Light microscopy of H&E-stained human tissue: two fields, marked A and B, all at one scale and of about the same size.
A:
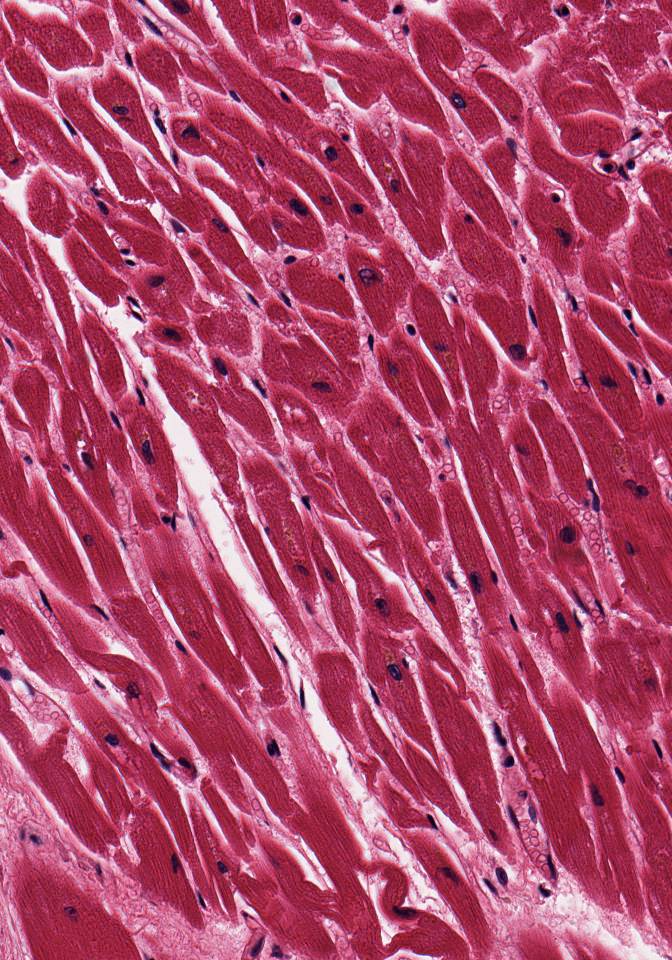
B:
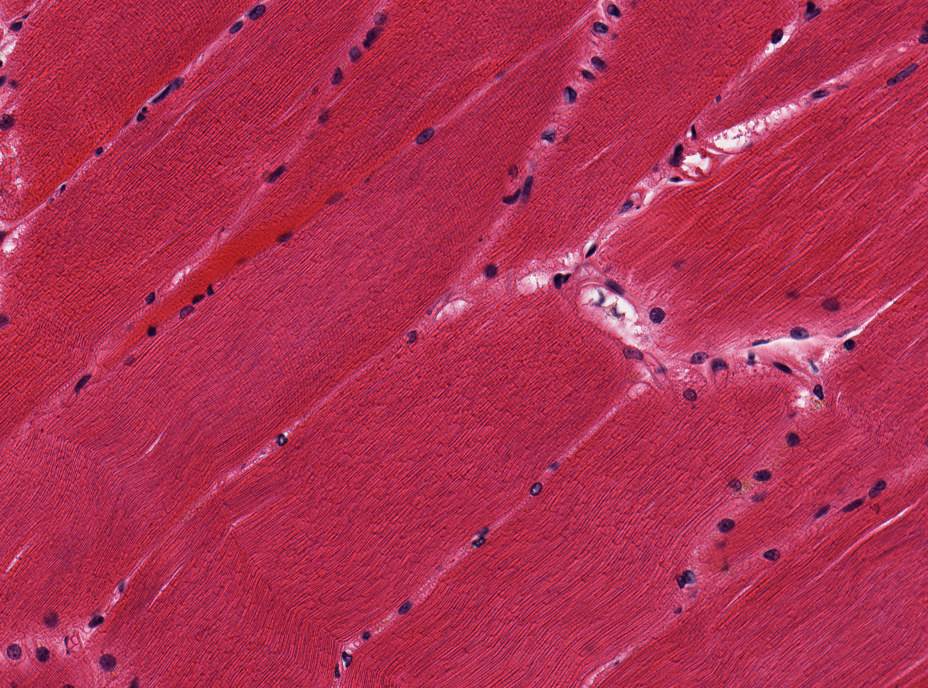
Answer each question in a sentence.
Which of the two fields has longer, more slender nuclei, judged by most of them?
It is field A whose nuclei are the more elongated.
